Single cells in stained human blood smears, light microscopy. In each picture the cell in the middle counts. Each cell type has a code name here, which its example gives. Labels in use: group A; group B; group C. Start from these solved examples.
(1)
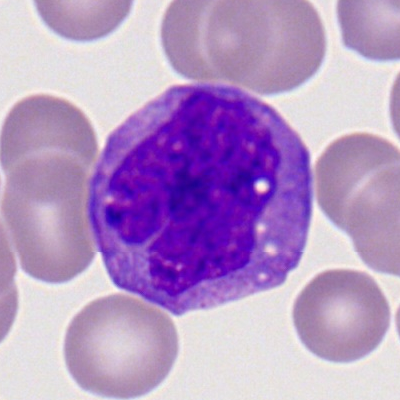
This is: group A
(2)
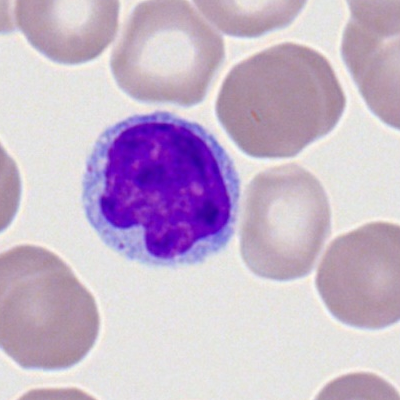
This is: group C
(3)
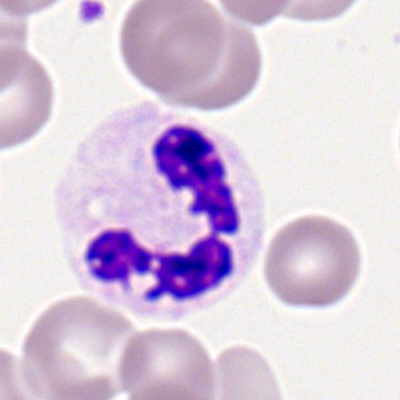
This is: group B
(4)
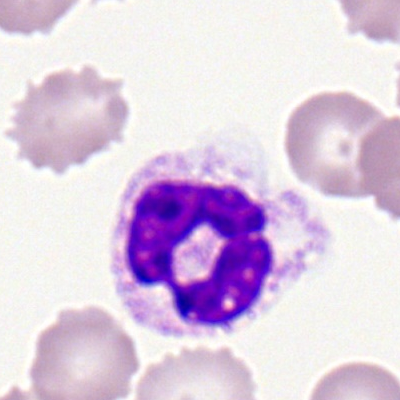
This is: group B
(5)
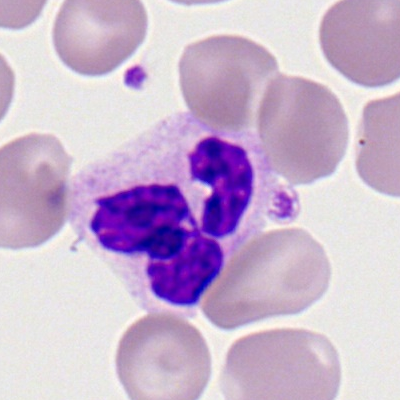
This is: group B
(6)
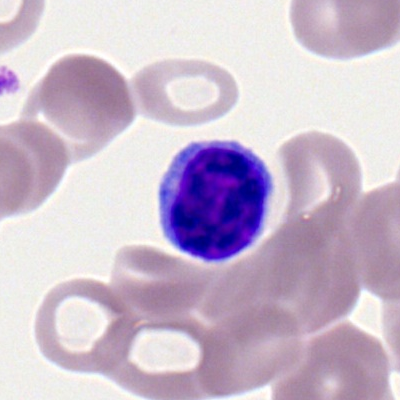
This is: group C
